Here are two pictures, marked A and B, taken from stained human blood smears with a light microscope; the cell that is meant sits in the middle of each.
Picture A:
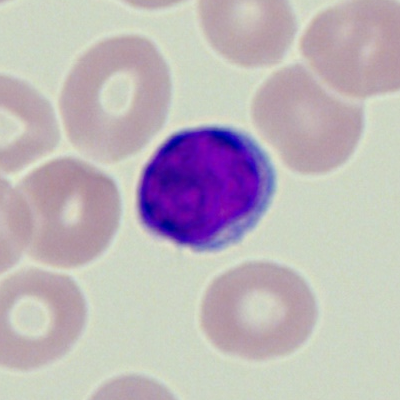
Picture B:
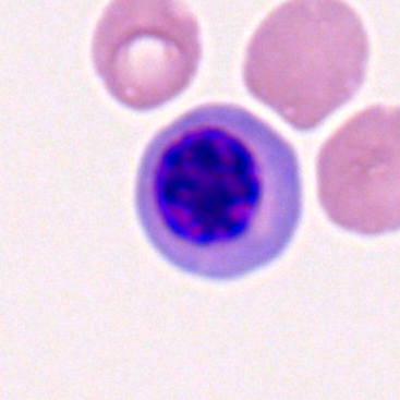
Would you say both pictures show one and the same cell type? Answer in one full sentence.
No. Picture A shows a lymphocyte, but picture B shows an erythroblast.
